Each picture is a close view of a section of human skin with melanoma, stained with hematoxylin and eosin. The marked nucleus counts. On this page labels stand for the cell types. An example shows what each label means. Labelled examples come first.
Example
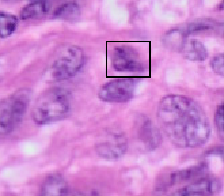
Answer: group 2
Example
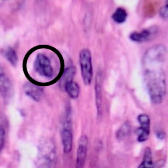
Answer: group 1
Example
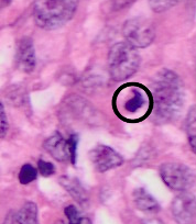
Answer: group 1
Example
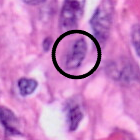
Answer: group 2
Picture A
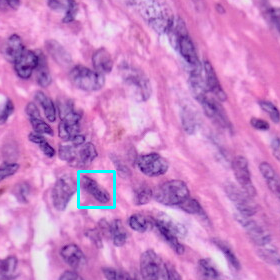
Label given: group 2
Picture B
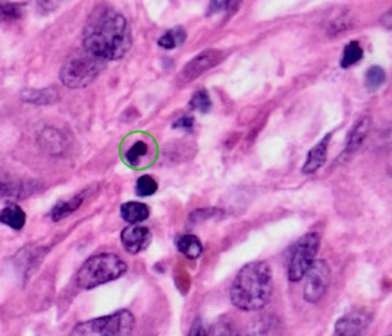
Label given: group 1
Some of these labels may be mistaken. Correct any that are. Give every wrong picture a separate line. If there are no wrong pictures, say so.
All labels are correct.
